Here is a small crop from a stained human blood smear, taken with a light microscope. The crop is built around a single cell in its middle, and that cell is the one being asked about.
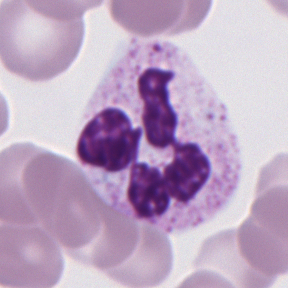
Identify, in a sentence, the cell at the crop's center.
The cell centered in this field of view is a segmented neutrophil.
